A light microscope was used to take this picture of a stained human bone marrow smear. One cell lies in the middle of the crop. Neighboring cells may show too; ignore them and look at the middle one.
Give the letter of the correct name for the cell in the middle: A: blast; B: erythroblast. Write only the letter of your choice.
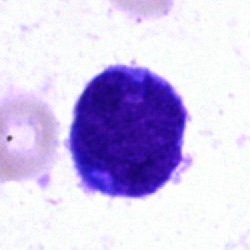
A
